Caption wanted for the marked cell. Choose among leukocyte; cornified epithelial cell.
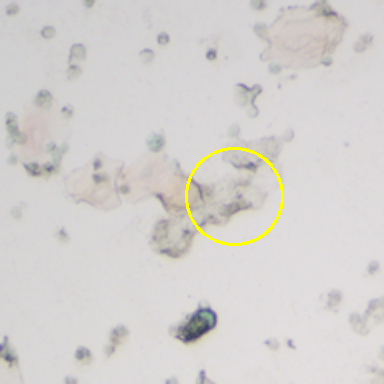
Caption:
Ringed in yellow is a cornified epithelial cell.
